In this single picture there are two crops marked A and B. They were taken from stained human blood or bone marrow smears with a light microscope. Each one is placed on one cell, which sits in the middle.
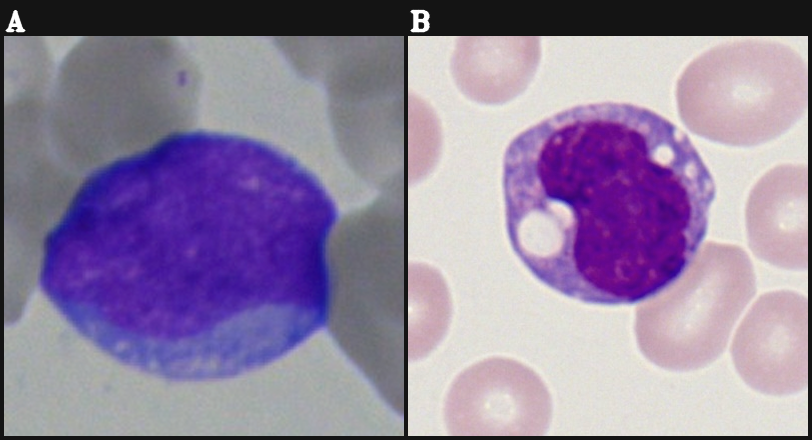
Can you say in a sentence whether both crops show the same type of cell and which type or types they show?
No, a blast is centred in crop A, and a monocyte is centred in crop B.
